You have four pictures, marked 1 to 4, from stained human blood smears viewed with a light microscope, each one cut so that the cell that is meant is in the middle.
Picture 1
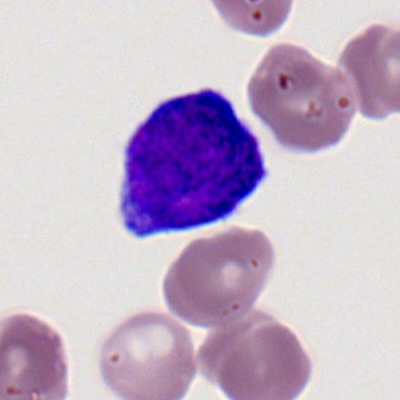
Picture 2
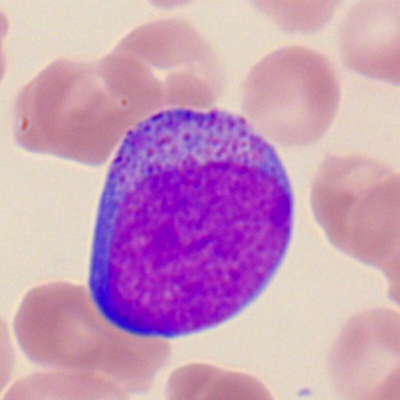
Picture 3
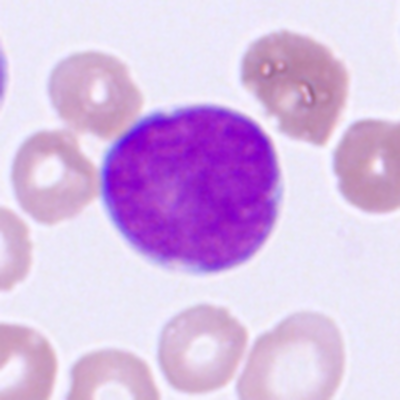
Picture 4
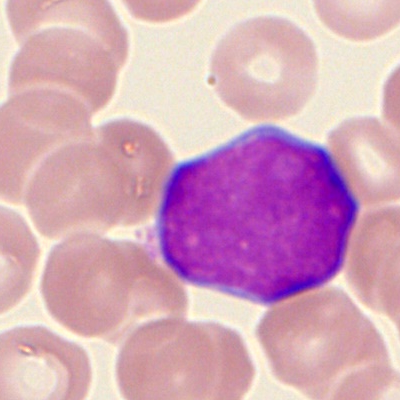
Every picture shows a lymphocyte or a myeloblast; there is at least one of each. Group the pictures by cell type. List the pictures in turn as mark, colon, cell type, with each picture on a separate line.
1: lymphocyte
2: myeloblast
3: myeloblast
4: myeloblast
